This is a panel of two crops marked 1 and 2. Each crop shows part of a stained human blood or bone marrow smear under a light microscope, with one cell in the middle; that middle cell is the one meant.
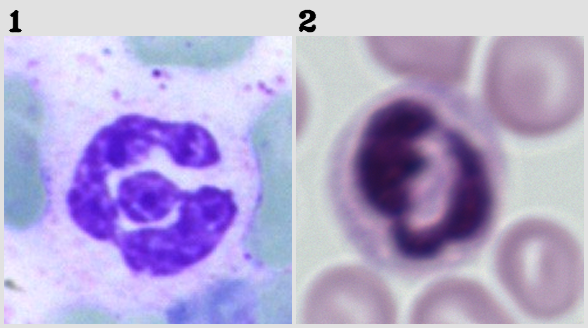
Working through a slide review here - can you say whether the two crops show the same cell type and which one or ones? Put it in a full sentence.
Yes, both crops show segmented neutrophils as their central cells.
